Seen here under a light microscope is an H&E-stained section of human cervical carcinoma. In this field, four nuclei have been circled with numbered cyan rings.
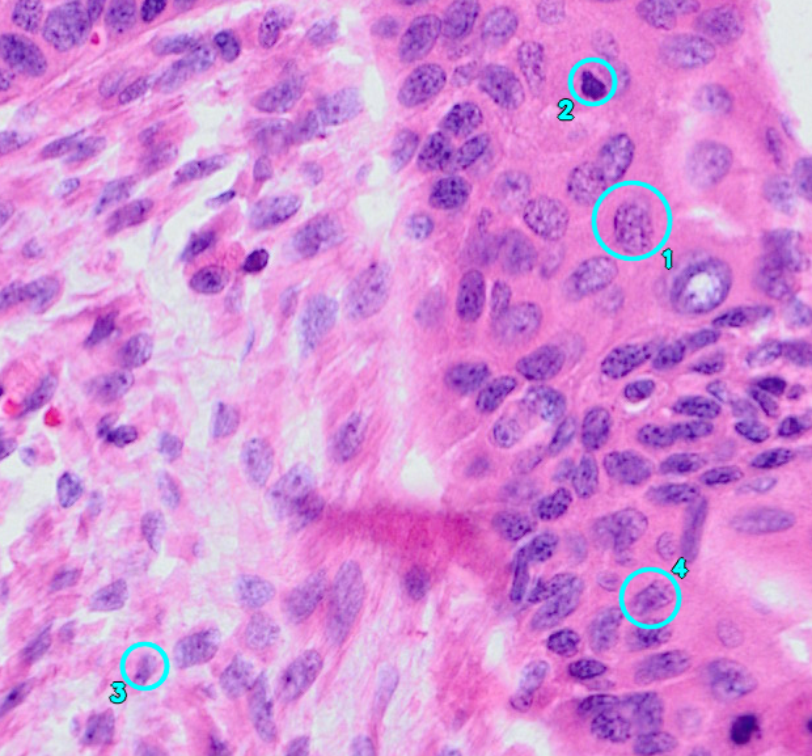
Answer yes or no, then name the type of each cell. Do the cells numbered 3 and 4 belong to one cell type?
No, cell 3 is a fibroblast and cell 4 is a squamous carcinoma cell.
